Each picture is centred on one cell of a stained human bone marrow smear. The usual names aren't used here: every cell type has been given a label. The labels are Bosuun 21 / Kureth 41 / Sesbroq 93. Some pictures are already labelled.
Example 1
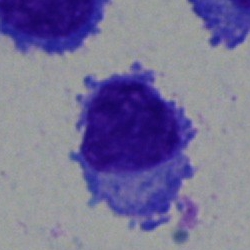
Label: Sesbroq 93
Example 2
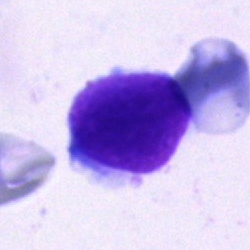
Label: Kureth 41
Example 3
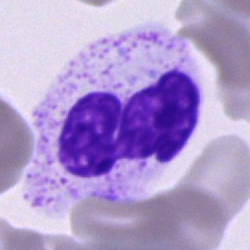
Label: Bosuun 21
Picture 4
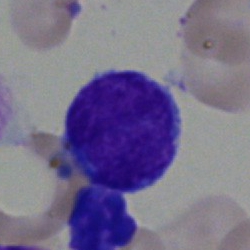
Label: Kureth 41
